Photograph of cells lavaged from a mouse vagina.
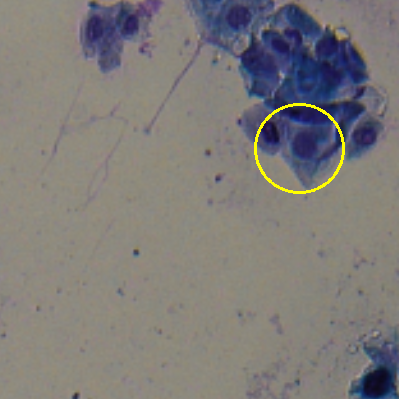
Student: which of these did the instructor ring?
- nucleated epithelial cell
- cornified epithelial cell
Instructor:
The cell I ringed is a nucleated epithelial cell.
